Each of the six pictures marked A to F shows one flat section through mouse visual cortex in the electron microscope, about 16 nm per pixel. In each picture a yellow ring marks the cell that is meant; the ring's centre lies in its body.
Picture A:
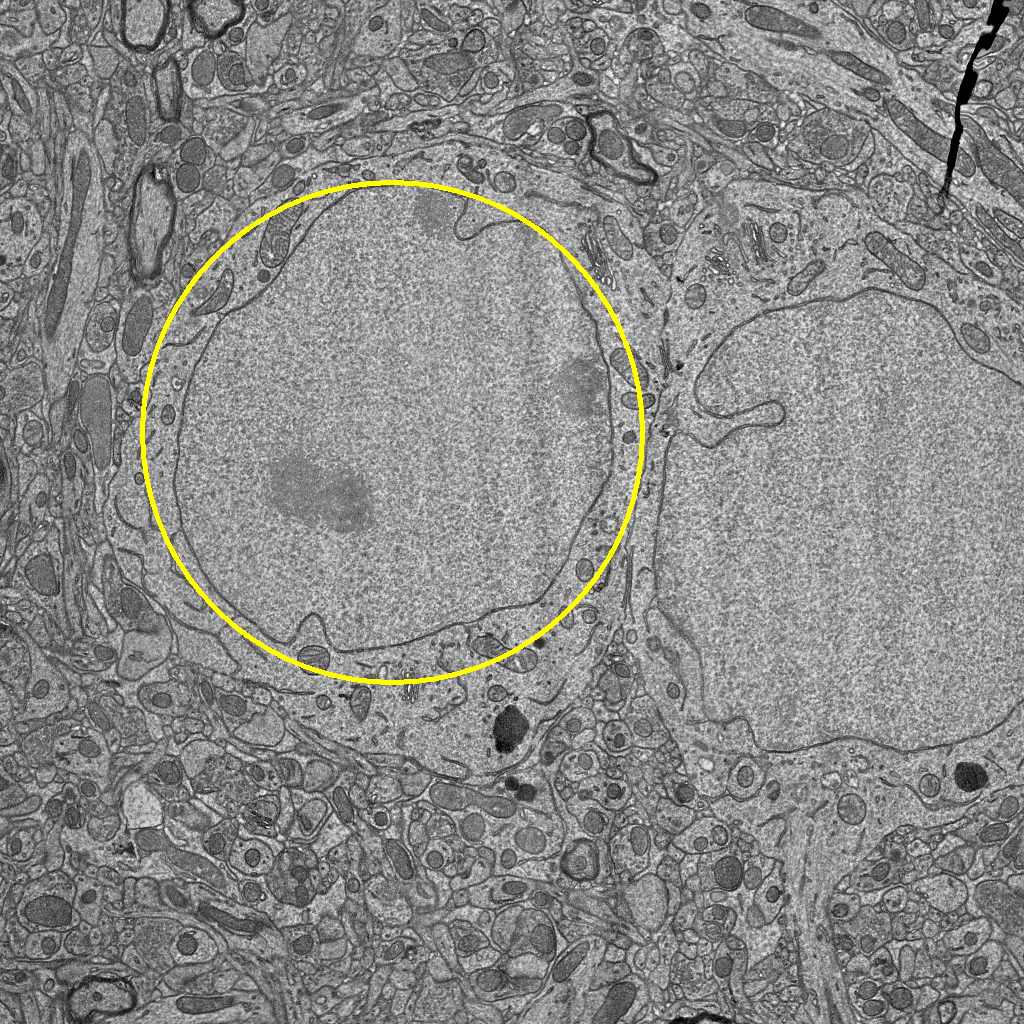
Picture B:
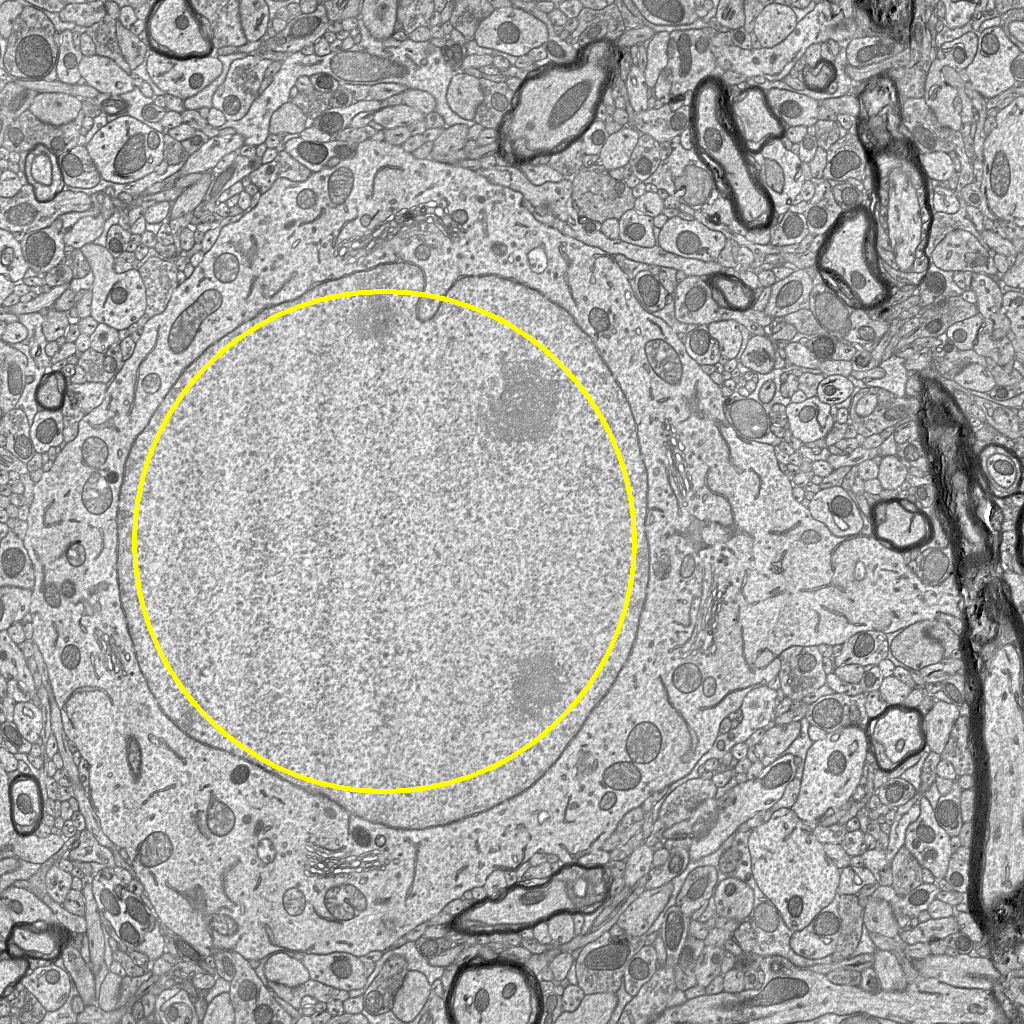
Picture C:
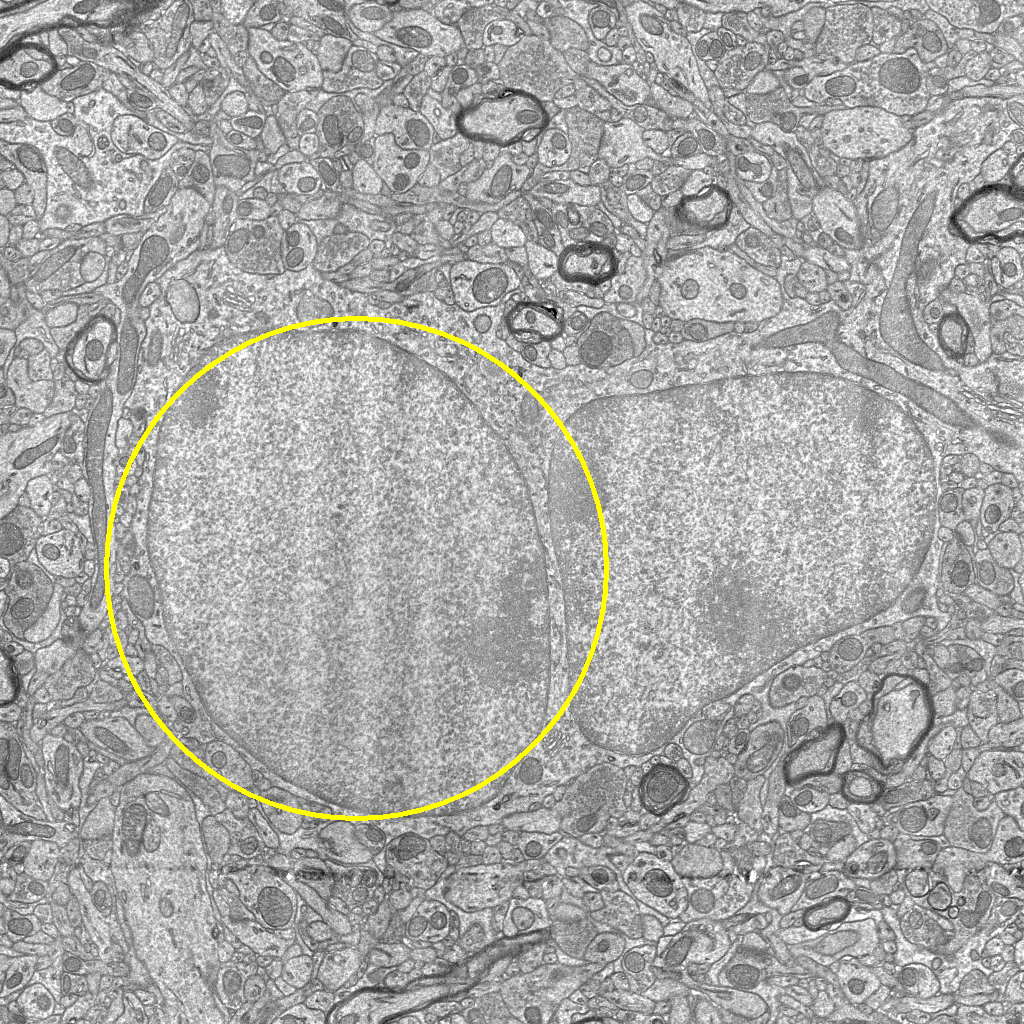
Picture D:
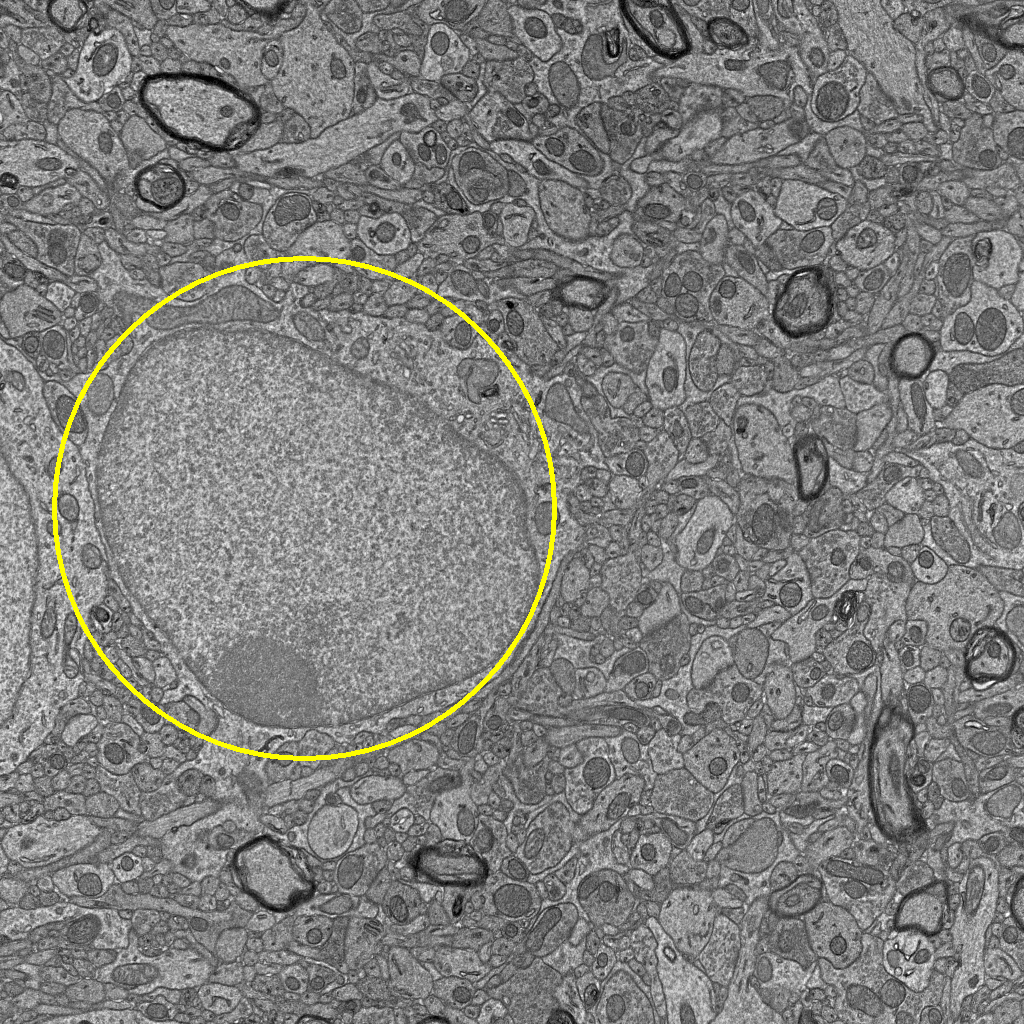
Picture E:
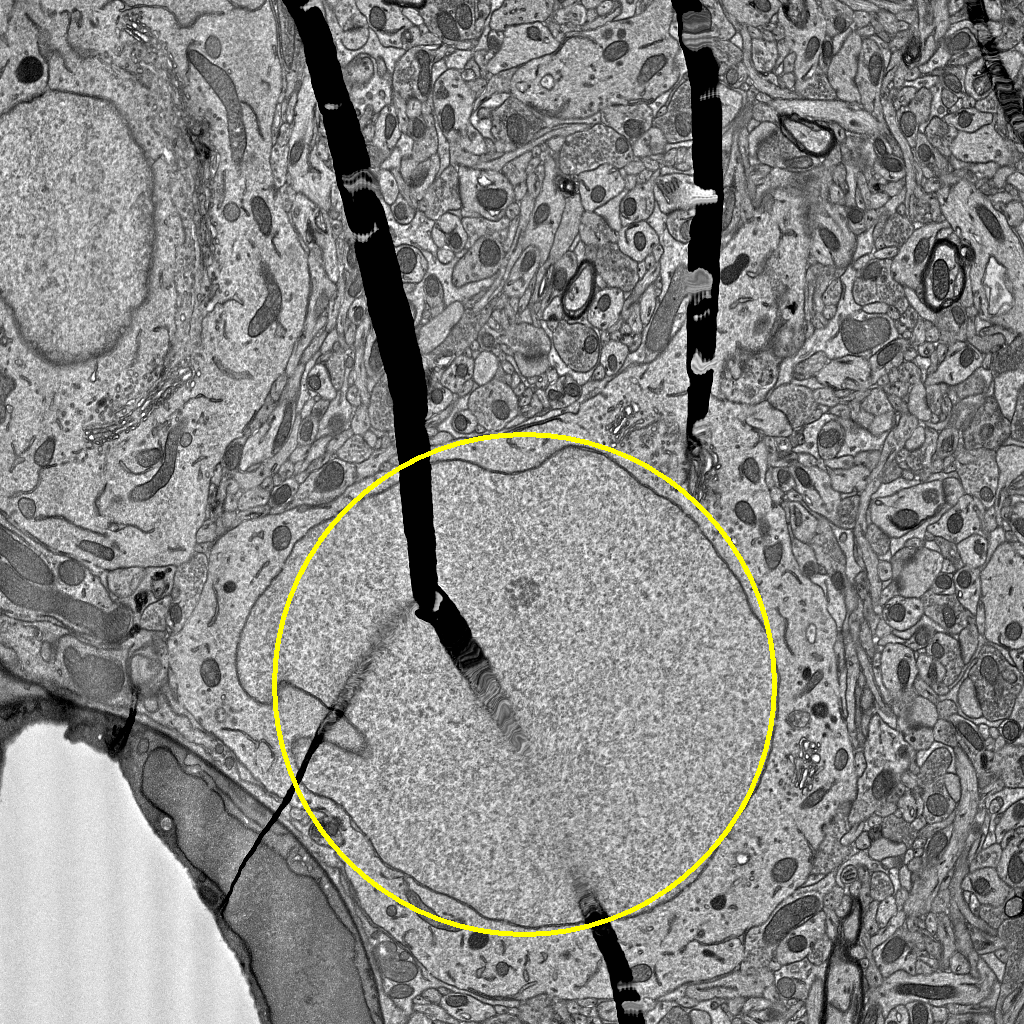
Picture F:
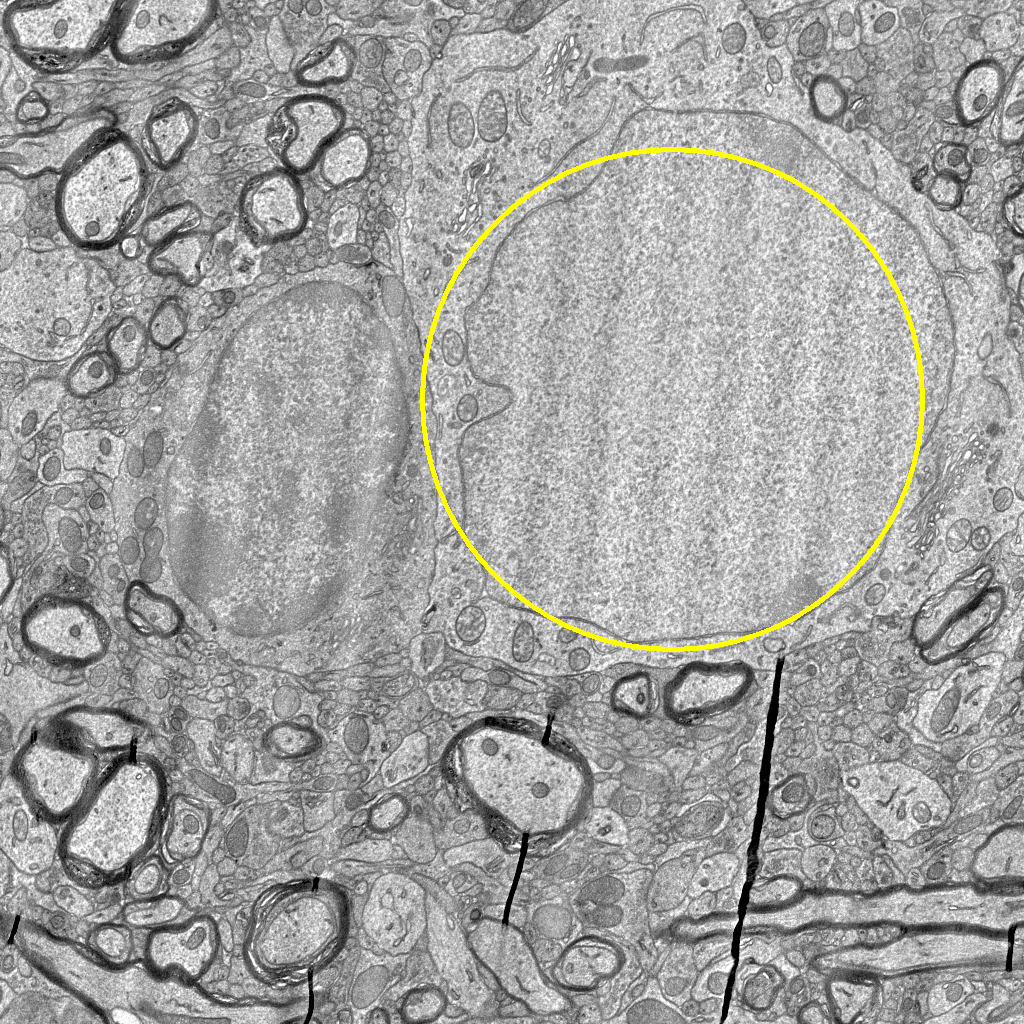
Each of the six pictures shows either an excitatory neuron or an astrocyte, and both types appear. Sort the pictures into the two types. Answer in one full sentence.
Pictures A, B, E and F show excitatory neurons, while pictures C and D show astrocytes.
